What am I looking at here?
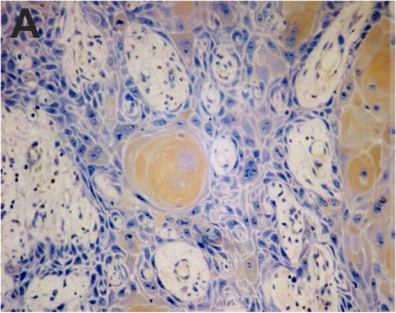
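Nests of squamous epithelial cells with pale cytoplasm and small nuclei lie in a blue-stained stroma, and in the centre a round mass of concentrically layered, flattened cells forms a whorl. This whorl and some keratinised areas to the side are stained brown, marking keratin pearls of a squamous cell carcinoma.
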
